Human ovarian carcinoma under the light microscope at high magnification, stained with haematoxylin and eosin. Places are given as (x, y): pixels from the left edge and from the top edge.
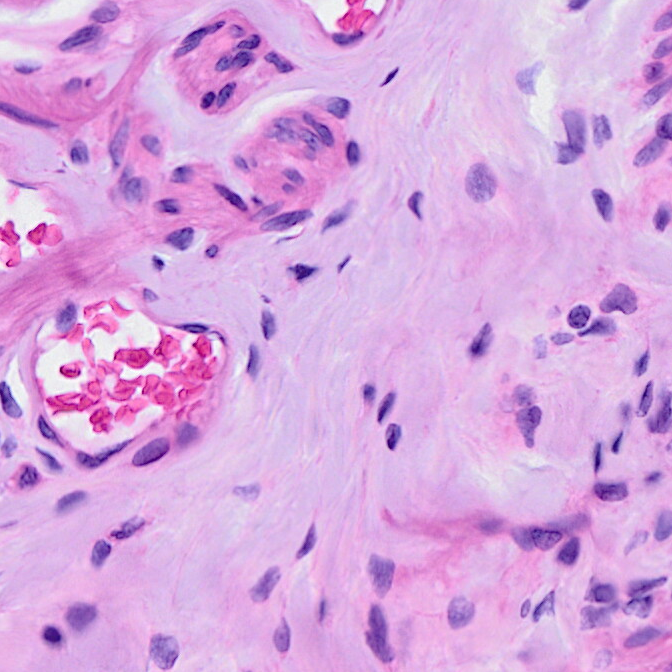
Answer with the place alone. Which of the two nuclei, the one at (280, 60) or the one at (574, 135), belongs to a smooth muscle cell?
(280, 60)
